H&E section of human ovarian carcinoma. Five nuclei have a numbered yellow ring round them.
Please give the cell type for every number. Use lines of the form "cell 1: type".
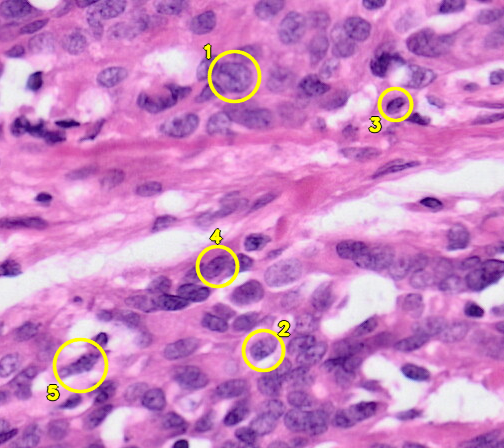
cell 1: carcinoma cell
cell 2: macrophage or monocyte
cell 3: macrophage or monocyte
cell 4: carcinoma cell
cell 5: macrophage or monocyte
